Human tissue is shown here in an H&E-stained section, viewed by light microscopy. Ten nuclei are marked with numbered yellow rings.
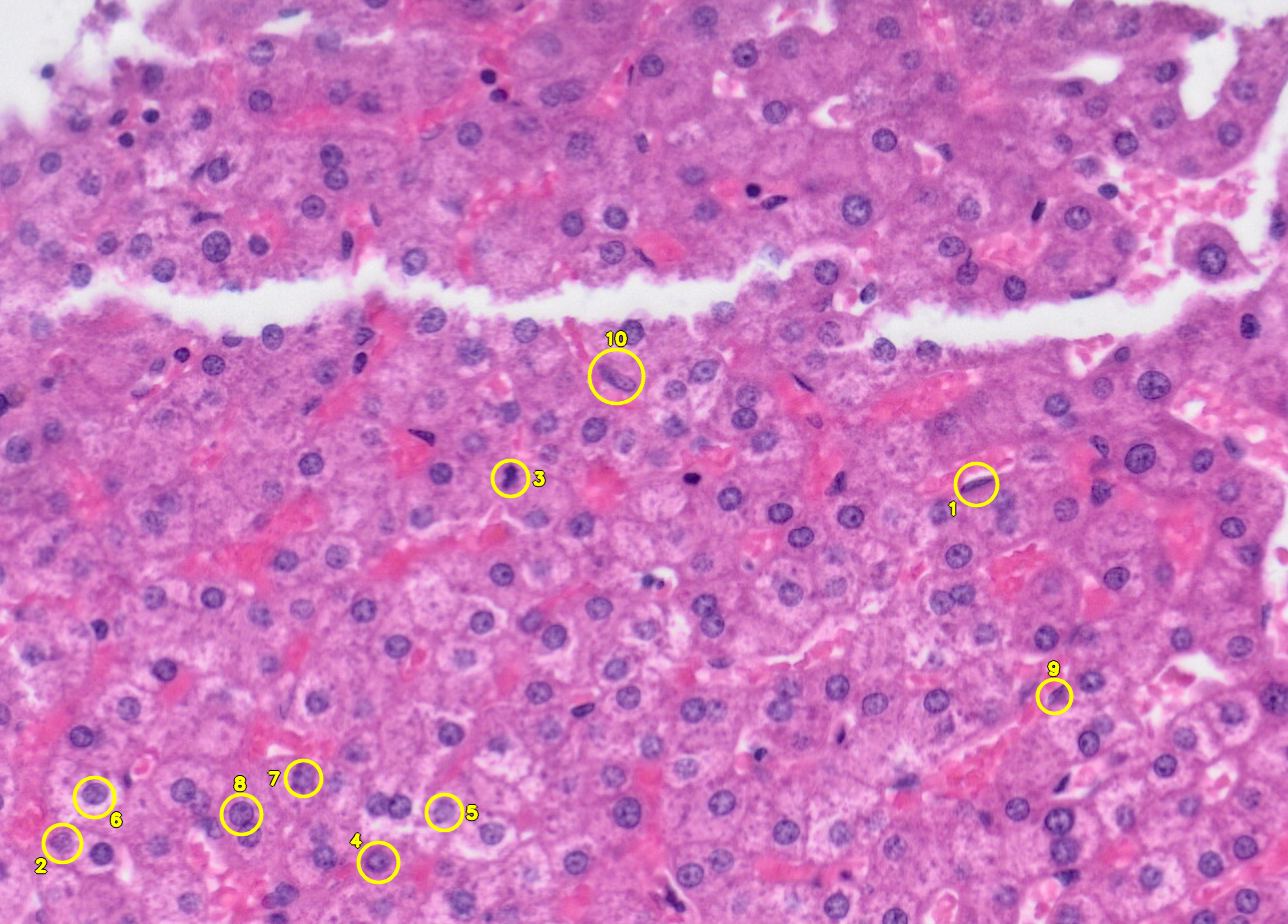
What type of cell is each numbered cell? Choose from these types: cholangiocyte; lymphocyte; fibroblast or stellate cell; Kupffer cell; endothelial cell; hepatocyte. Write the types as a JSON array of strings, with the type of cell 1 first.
["endothelial cell", "hepatocyte", "fibroblast or stellate cell", "hepatocyte", "hepatocyte", "hepatocyte", "hepatocyte", "hepatocyte", "endothelial cell", "Kupffer cell"]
